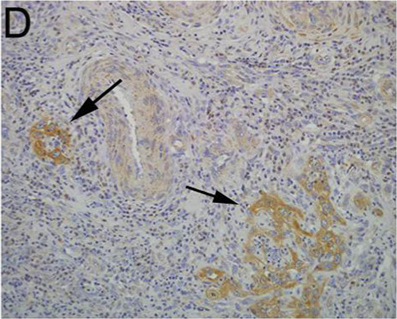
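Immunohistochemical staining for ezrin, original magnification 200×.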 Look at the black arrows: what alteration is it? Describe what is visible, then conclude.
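Invasive cancer loci. Small irregular clusters of brown-stained epithelial cells lying within stroma. The clusters are separated from one another by stromal tissue.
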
